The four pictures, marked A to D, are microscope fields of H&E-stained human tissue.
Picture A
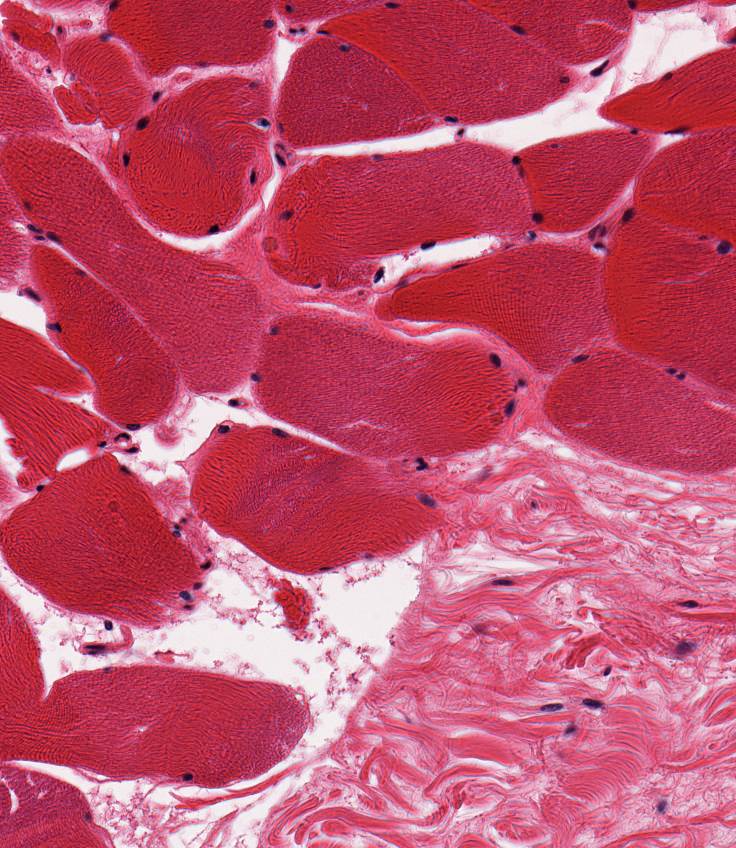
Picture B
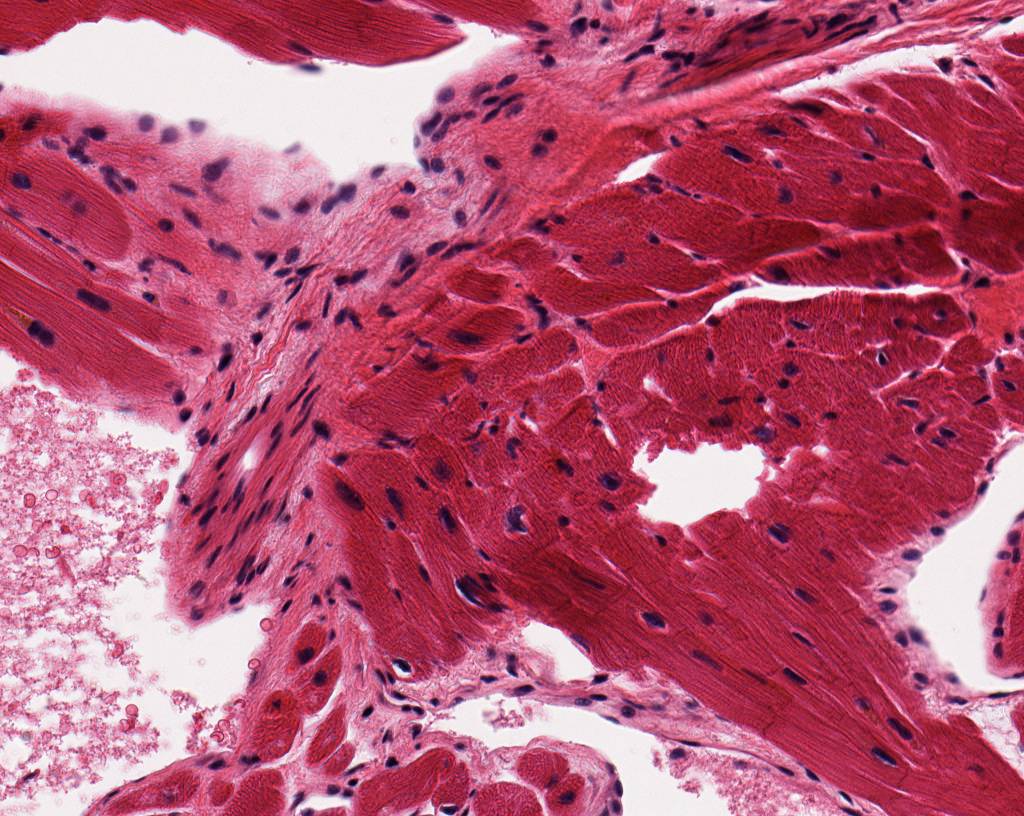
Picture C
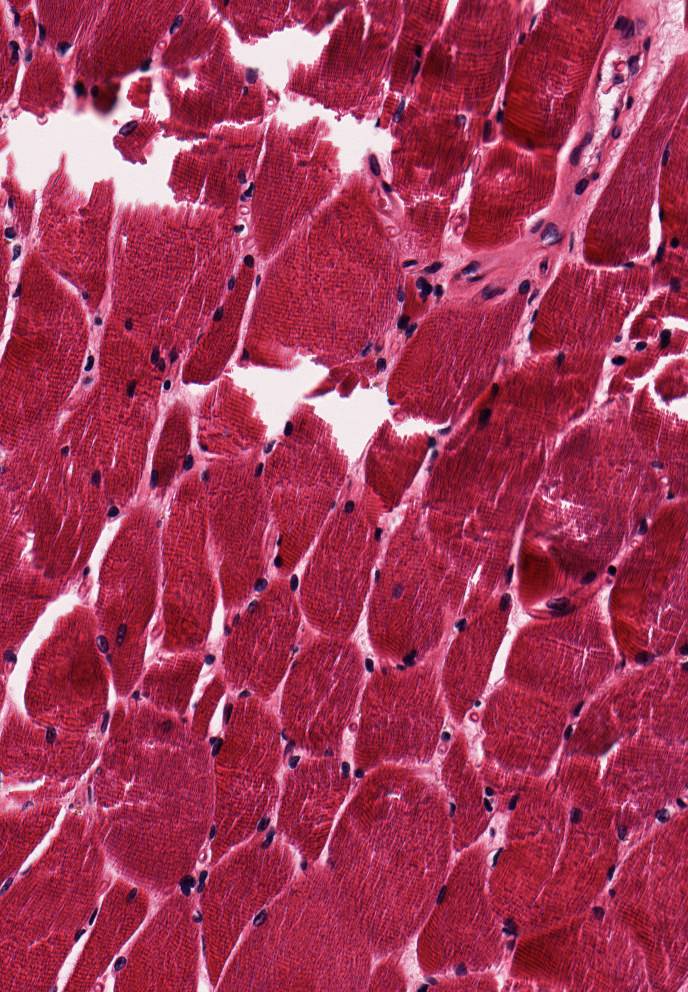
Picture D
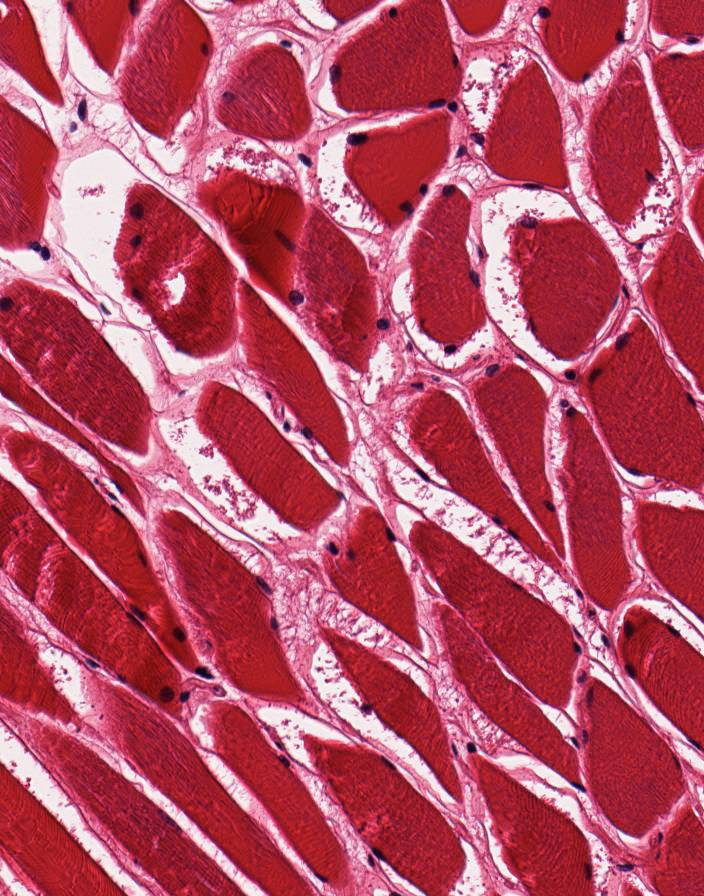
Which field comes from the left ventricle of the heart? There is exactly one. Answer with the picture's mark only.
B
